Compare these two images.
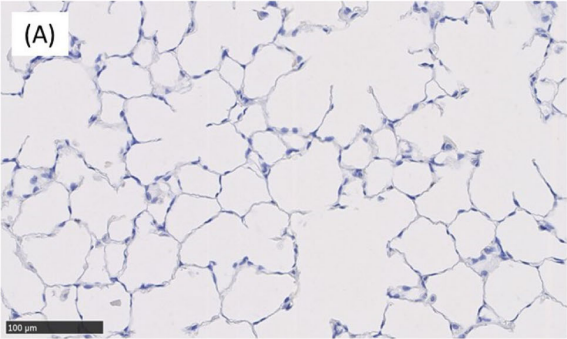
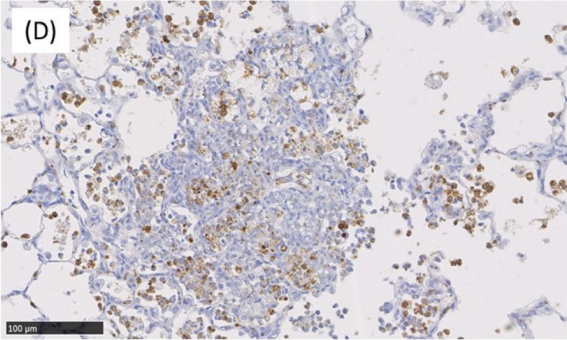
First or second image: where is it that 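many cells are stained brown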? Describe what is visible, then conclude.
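The second image. Second image: numerous brown-stained round cells cluster in a dense focus. First image: thin alveolar walls with only blue nuclei, no brown cells.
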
